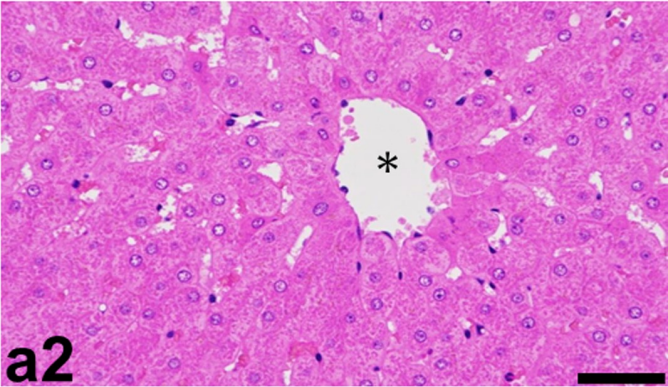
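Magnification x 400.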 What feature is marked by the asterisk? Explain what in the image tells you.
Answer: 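The asterisk lies in an empty vessel lumen in the centre. Plates of polygonal cells with round central nuclei surround it.
Conclusion: central vein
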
